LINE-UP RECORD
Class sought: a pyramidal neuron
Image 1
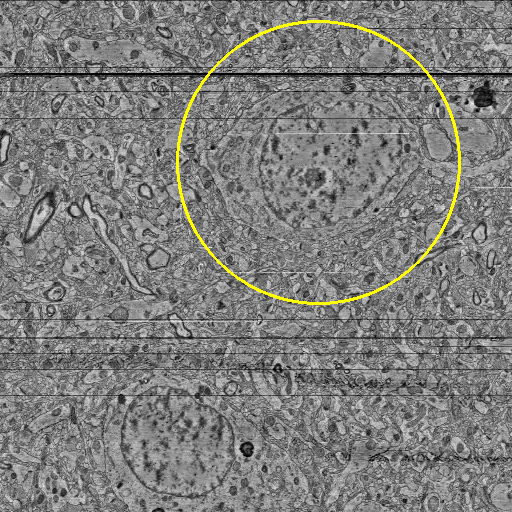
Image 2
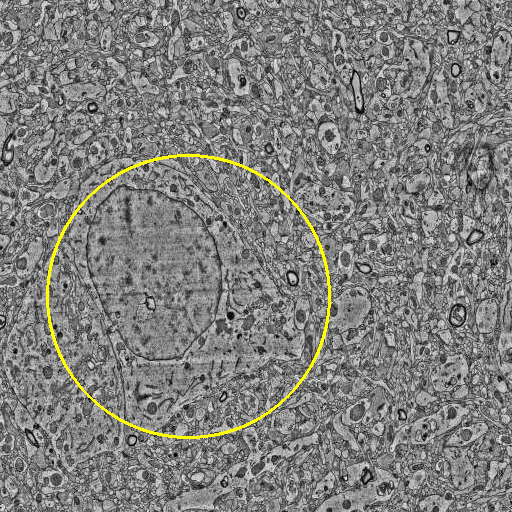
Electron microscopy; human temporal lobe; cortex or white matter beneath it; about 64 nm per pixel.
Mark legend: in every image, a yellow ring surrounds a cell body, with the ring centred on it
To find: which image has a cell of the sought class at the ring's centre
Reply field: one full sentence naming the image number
The ring-centred cell of image 2 belongs to the class sought.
